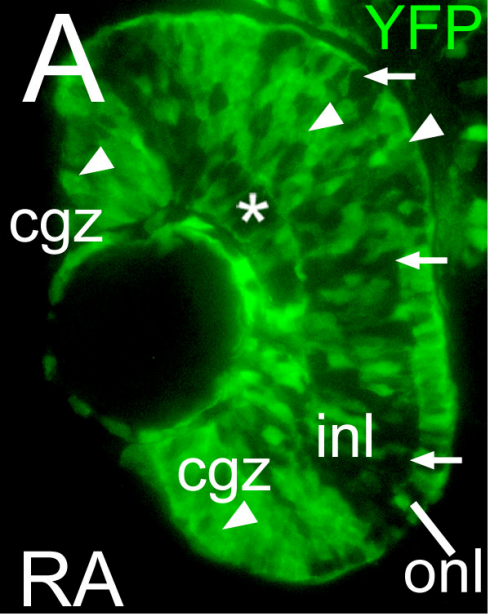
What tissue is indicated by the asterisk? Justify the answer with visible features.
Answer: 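Ganglion cell layer. The asterisk sits in the innermost retinal layer, next to the round dark lens.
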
